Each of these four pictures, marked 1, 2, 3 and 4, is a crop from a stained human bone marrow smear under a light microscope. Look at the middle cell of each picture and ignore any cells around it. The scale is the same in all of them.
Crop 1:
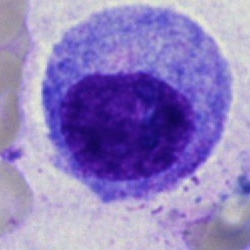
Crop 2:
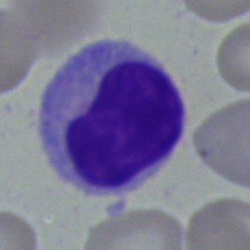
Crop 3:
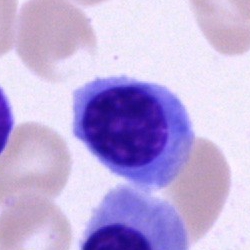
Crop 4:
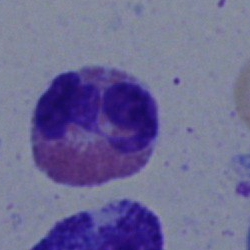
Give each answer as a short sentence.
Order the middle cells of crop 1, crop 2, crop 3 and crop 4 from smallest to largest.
From the smallest up, the order is 3, 4, 2, 1.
